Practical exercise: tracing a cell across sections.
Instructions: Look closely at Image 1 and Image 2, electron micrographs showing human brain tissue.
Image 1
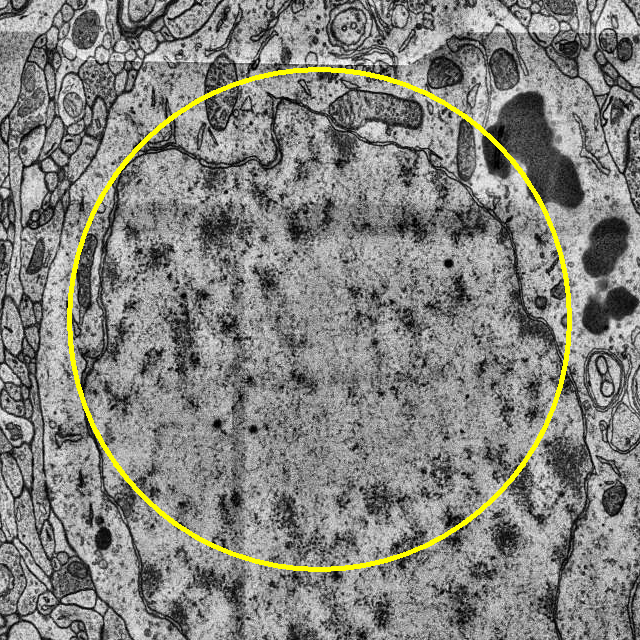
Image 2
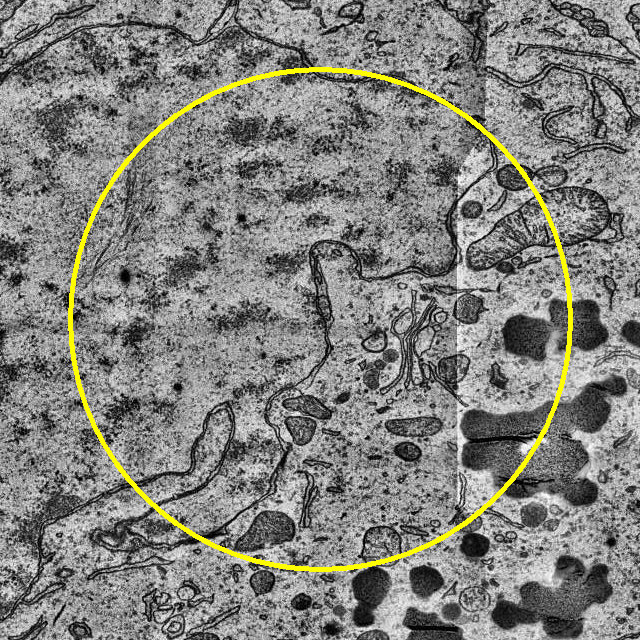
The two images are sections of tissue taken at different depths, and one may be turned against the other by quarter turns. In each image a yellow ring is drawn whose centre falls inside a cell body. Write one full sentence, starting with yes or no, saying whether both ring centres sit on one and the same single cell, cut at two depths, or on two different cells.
Yes, both rings identify a single, shared cell.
